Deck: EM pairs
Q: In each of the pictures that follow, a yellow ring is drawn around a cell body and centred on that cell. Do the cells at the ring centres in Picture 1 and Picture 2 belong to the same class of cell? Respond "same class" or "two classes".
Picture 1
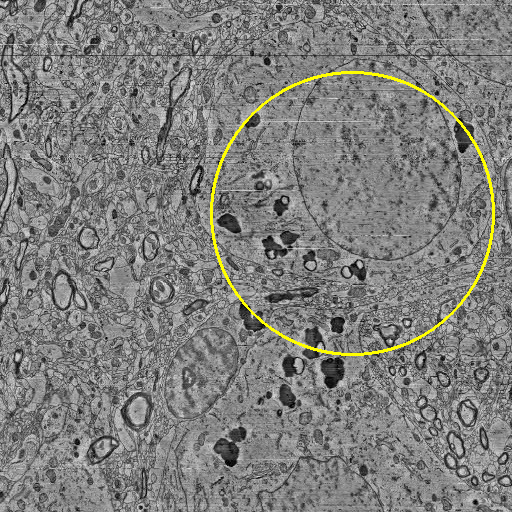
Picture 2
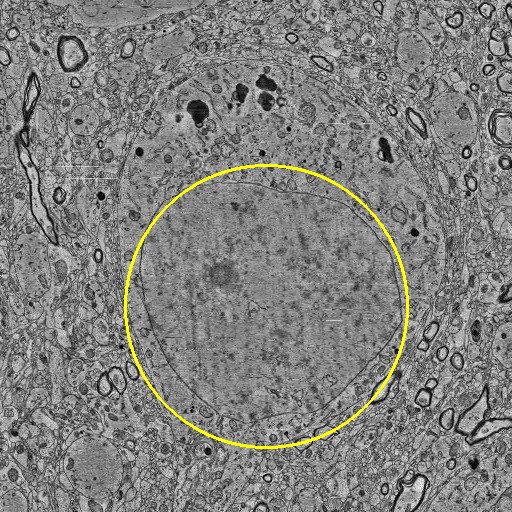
same class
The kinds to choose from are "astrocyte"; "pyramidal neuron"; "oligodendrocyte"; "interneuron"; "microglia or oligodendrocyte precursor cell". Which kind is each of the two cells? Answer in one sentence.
The second cell is a pyramidal neuron, just as the first is.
